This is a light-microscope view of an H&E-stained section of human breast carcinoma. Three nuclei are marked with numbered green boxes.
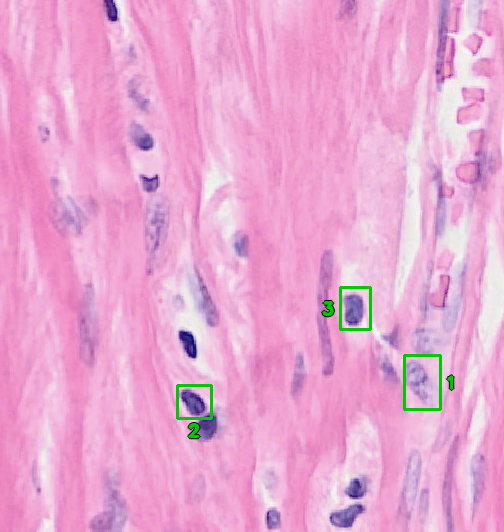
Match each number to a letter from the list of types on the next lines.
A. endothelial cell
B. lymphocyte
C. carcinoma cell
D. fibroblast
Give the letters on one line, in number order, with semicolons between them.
A; B; B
